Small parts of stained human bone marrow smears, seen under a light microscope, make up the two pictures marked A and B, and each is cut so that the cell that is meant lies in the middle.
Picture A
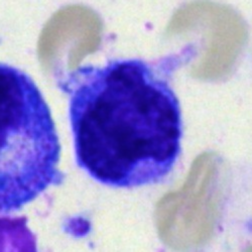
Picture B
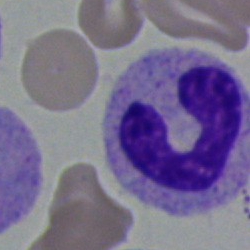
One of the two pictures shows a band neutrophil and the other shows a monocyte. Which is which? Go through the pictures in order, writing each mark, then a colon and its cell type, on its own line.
A: monocyte
B: band neutrophil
